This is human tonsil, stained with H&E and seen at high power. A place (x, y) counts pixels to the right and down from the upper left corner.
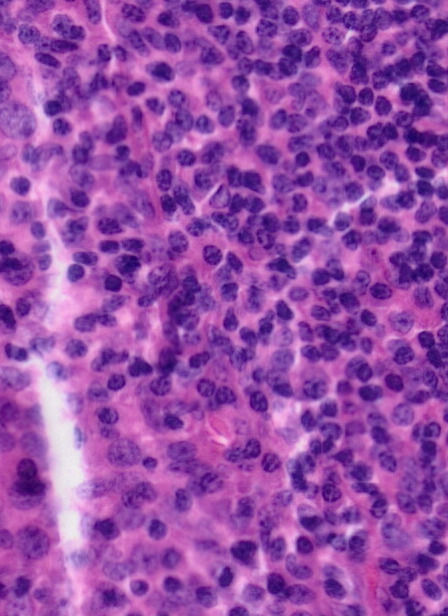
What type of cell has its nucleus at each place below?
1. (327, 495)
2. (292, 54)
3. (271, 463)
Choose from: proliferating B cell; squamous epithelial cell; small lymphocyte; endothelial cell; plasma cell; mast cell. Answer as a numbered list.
1. plasma cell
2. small lymphocyte
3. plasma cell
